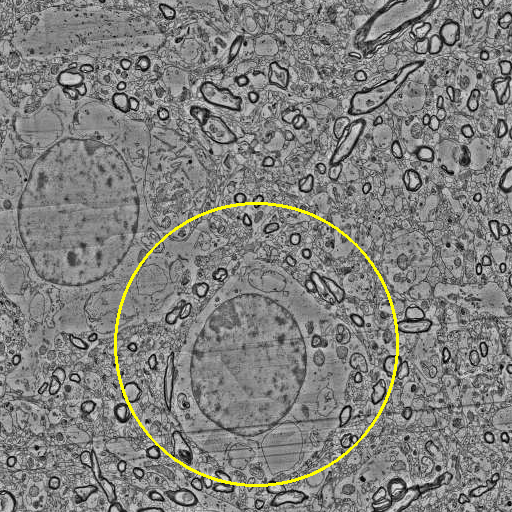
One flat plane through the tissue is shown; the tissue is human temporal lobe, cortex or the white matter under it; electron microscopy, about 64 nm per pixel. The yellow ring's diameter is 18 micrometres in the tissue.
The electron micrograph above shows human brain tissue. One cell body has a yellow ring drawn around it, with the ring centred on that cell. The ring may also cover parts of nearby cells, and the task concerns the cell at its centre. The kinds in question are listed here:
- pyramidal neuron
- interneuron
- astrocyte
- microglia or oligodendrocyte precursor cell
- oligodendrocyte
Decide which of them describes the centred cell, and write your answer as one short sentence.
The centred cell is an astrocyte.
